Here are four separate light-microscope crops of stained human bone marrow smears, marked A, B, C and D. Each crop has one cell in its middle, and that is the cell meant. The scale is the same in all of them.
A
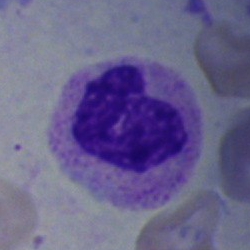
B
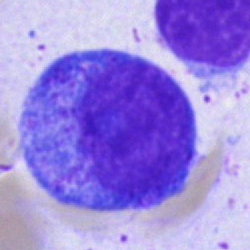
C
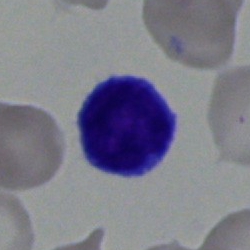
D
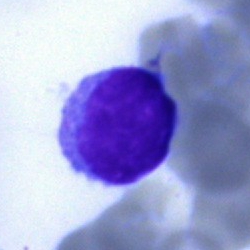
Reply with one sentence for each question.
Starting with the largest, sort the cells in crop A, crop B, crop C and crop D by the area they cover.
From the largest down, the order is B, A, D, C.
